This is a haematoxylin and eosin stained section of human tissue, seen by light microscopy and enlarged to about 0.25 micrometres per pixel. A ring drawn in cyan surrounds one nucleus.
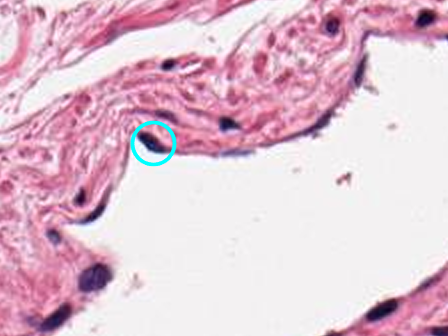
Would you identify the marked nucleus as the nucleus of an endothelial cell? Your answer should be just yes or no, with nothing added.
yes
